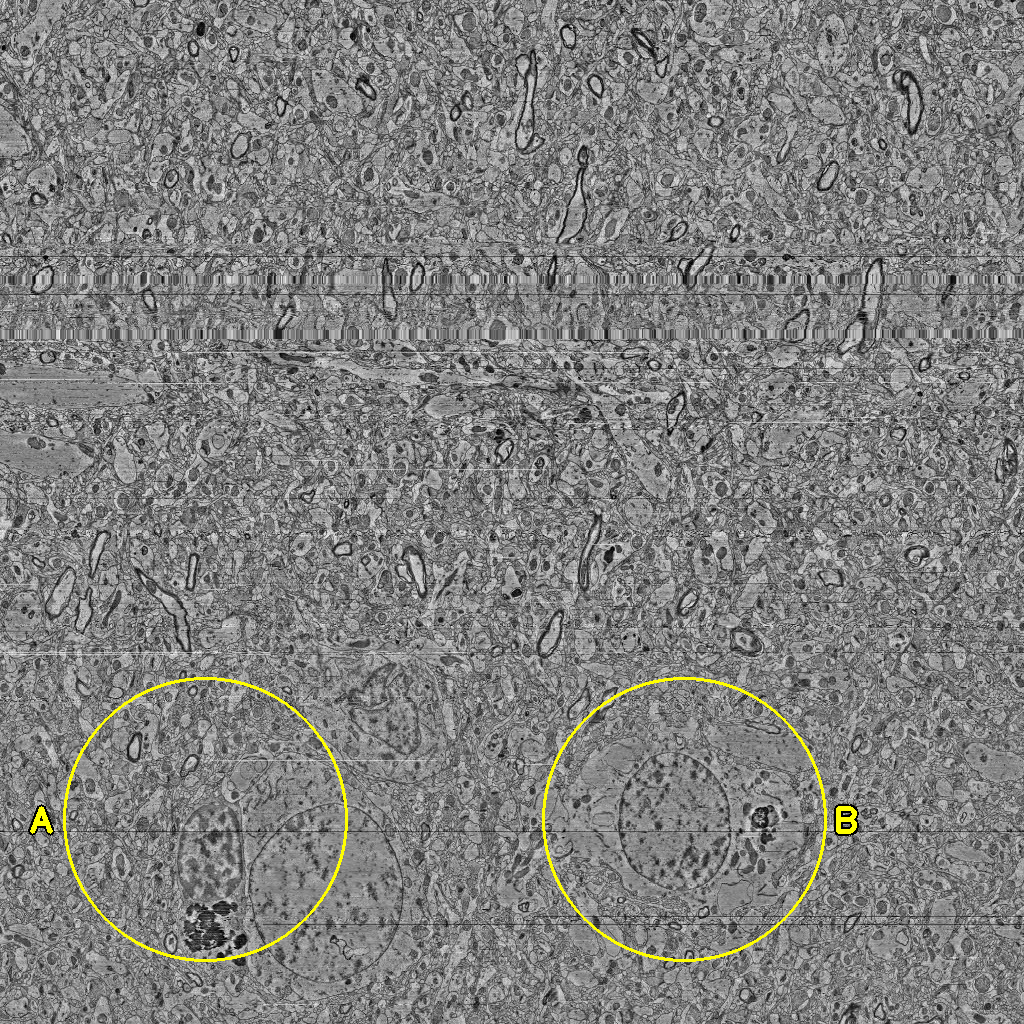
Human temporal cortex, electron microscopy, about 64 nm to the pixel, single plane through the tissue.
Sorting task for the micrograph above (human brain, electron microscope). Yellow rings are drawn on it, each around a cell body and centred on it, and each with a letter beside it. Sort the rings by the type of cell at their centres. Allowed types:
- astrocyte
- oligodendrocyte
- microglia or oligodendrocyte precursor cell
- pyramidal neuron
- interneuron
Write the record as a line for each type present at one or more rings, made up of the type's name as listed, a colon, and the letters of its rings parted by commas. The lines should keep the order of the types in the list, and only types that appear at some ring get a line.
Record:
astrocyte: B
oligodendrocyte: A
